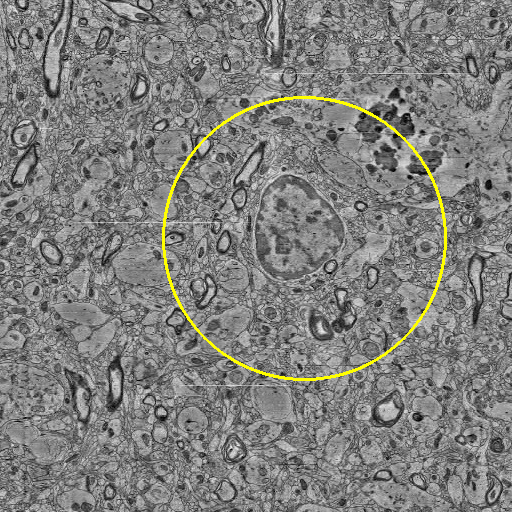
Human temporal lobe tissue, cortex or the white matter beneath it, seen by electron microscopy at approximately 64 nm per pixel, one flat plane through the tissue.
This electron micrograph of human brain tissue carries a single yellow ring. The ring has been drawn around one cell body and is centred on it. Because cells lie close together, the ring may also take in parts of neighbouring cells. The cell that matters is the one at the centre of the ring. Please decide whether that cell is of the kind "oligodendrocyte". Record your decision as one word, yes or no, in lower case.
no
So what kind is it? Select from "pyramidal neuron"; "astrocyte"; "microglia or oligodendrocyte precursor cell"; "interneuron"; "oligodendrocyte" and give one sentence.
So the cell at the centre is a microglial cell or oligodendrocyte precursor cell.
